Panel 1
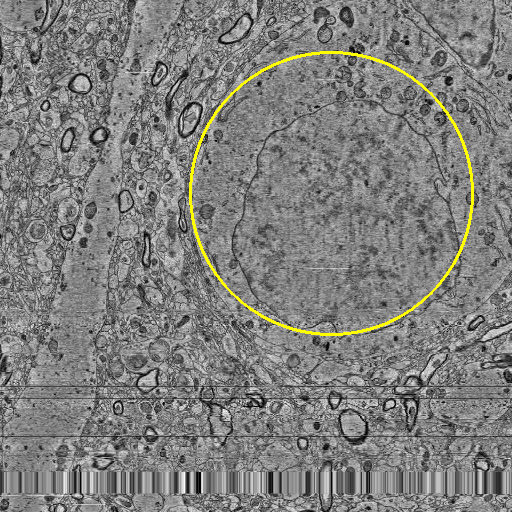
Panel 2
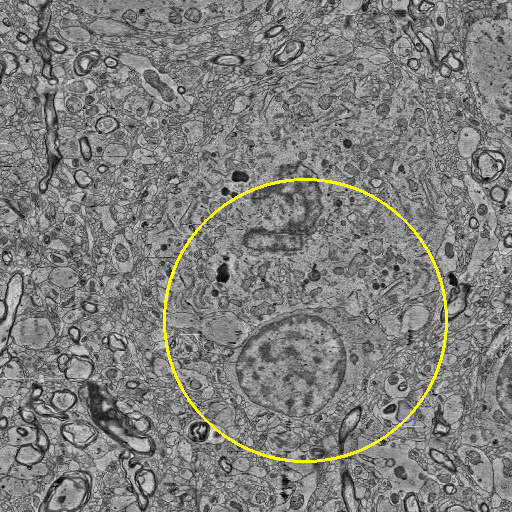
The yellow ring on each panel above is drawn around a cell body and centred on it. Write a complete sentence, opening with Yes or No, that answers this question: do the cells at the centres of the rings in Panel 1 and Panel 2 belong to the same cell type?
No, the two cells belong to two cell types.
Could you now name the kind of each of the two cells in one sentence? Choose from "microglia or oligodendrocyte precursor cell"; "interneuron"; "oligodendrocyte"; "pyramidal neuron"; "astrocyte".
The first ring encloses a pyramidal neuron; the second ring encloses an oligodendrocyte.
